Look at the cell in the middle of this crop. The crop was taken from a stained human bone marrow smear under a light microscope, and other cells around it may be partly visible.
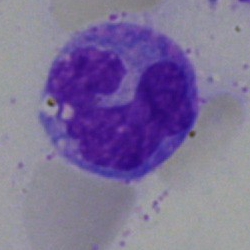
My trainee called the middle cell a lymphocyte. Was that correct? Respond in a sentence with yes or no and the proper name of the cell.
No, the central cell is classed as a monocyte and not as a lymphocyte.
